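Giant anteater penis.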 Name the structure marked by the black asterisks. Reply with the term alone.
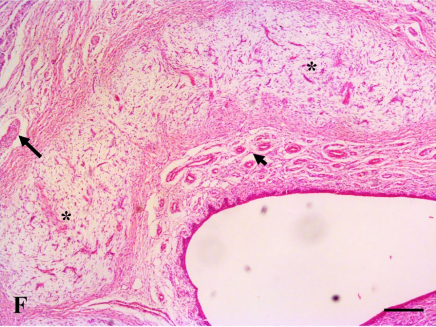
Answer: Erectile bodies.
